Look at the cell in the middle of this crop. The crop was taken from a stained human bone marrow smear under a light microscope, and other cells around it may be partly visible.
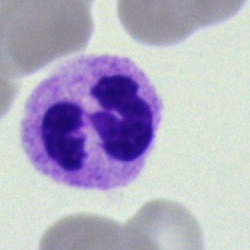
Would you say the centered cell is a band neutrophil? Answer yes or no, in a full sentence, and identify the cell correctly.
No, the central cell is reported as a segmented neutrophil rather than as a band neutrophil.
